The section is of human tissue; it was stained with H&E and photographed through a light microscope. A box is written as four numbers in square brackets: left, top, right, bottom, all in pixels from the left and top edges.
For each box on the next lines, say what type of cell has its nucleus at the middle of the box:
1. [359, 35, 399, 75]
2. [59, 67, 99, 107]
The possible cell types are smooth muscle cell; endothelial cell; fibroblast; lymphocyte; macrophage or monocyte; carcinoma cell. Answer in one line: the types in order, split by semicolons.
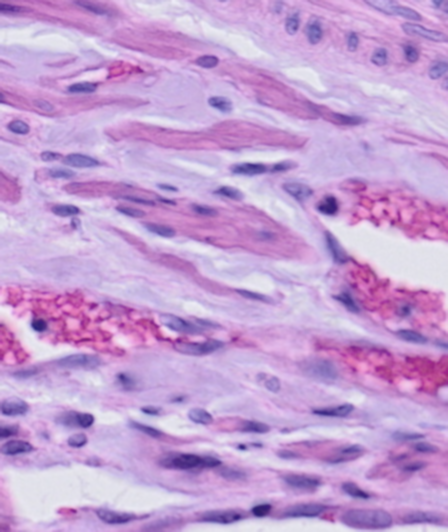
smooth muscle cell; endothelial cell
